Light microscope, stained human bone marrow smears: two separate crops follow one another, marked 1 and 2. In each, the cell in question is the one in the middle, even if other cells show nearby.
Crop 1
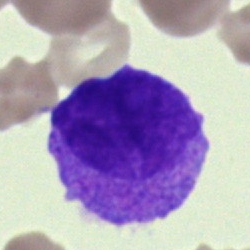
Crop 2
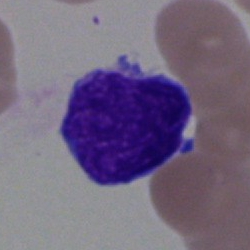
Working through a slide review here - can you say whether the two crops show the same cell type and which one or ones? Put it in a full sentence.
Yes, both crops show blasts at their middles.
